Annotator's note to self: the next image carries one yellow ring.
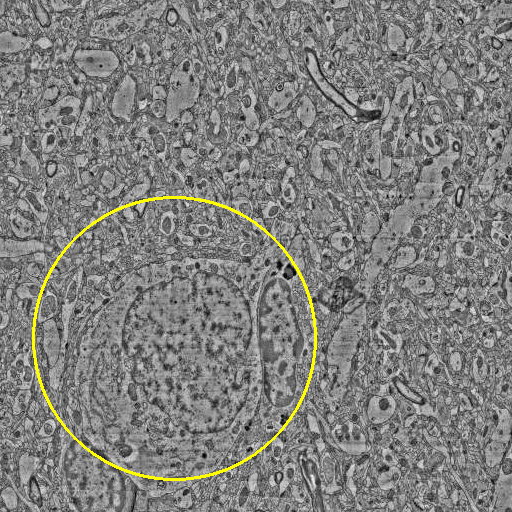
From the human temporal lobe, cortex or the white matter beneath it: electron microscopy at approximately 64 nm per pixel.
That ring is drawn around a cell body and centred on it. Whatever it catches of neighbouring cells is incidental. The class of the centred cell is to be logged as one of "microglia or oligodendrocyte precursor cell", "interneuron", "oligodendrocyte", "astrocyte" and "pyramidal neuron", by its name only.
interneuron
